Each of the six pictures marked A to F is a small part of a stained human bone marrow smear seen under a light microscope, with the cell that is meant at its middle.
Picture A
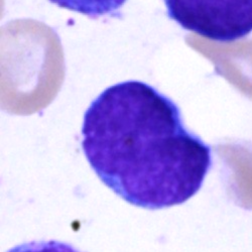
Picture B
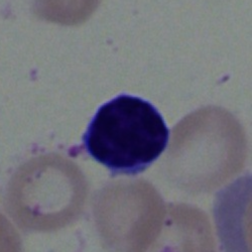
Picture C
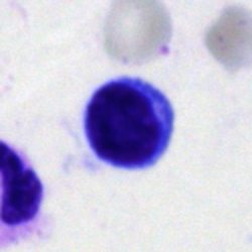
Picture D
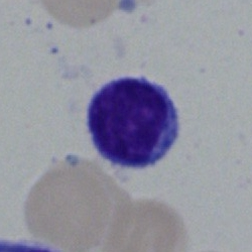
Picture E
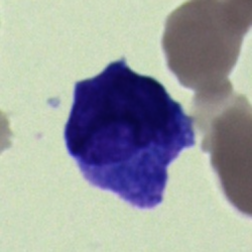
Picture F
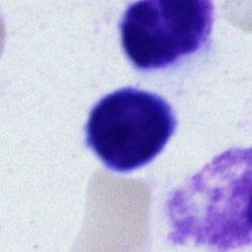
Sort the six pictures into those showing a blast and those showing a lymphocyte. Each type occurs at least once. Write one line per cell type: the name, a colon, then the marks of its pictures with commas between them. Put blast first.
blast: A, E
lymphocyte: B, C, D, F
